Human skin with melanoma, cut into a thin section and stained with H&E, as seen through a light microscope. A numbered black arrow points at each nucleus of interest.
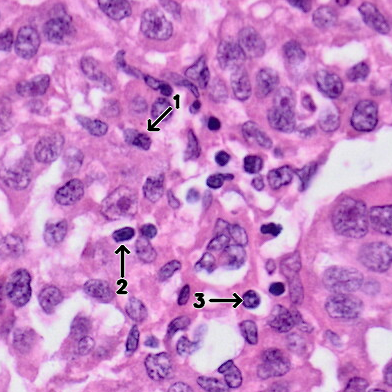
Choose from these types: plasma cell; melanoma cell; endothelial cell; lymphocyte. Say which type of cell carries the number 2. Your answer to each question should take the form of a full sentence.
In this section, number 2 marks a lymphocyte.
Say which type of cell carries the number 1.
In this section, number 1 marks a melanoma cell.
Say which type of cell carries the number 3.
The cell identified by the number 3 is a lymphocyte.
